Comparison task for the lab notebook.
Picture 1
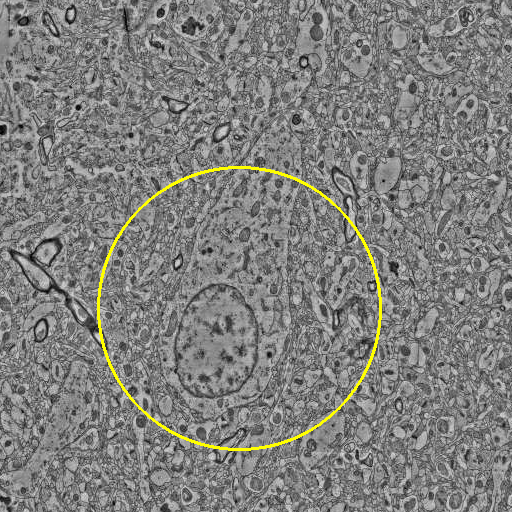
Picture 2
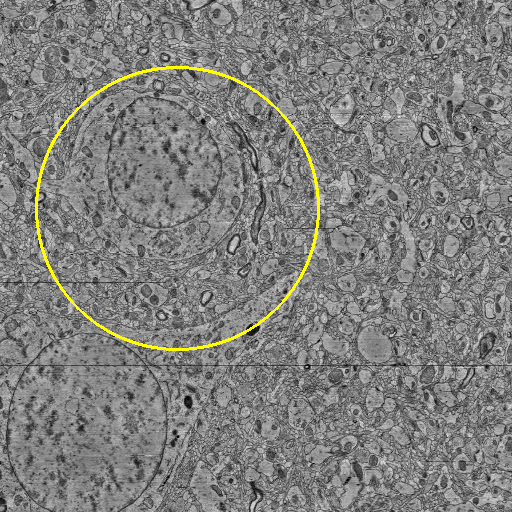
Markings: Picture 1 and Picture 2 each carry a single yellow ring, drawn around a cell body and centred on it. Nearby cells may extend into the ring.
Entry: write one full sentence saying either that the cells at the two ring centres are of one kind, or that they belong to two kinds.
The cells sitting at the ring centres in Picture 1 and Picture 2 are of one kind.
